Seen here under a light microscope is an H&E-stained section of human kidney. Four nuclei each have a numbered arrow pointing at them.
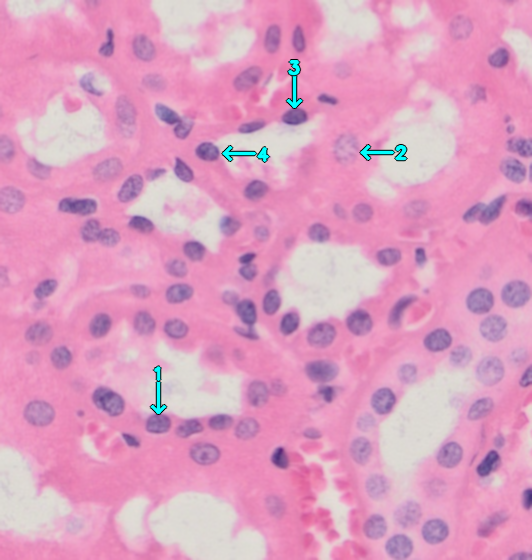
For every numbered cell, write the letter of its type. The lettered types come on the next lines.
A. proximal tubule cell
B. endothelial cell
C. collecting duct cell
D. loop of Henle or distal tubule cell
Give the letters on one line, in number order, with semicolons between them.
D; A; D; D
